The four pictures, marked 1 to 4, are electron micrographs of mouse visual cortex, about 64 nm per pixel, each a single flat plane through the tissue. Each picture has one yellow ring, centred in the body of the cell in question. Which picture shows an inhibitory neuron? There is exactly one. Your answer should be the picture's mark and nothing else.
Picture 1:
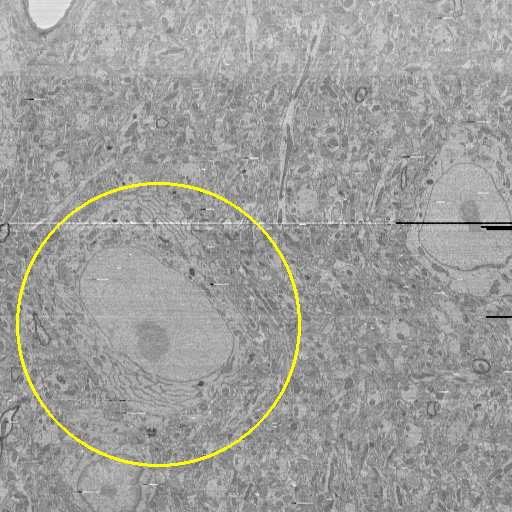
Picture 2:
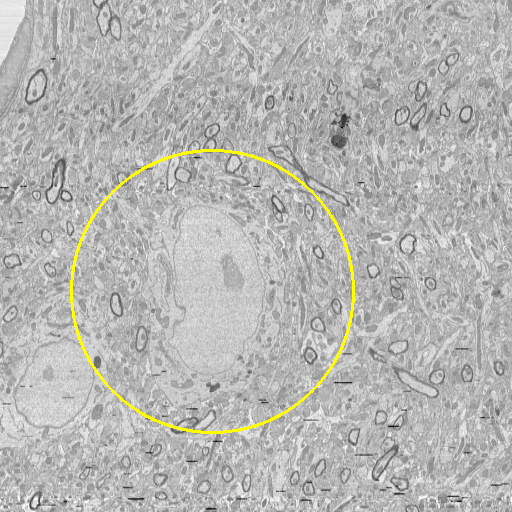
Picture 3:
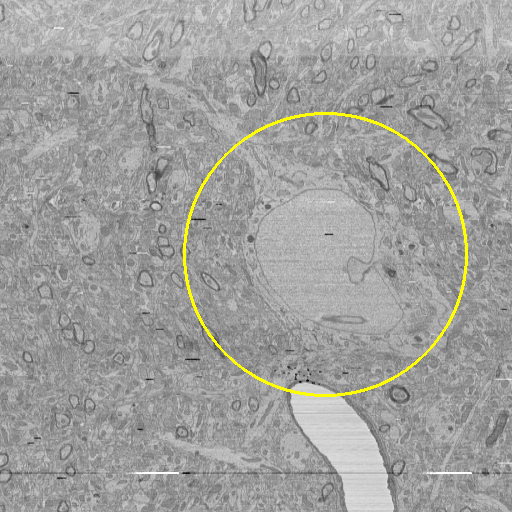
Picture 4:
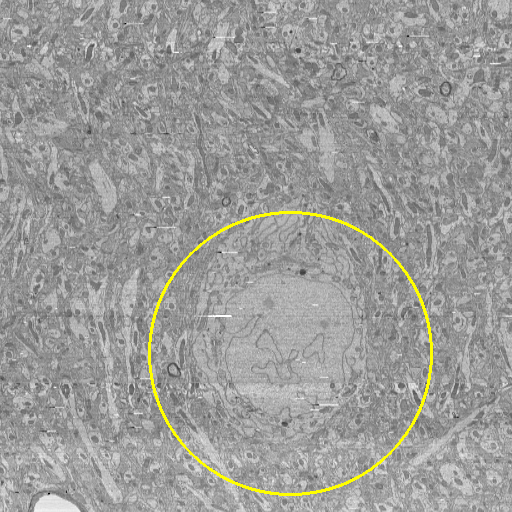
4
